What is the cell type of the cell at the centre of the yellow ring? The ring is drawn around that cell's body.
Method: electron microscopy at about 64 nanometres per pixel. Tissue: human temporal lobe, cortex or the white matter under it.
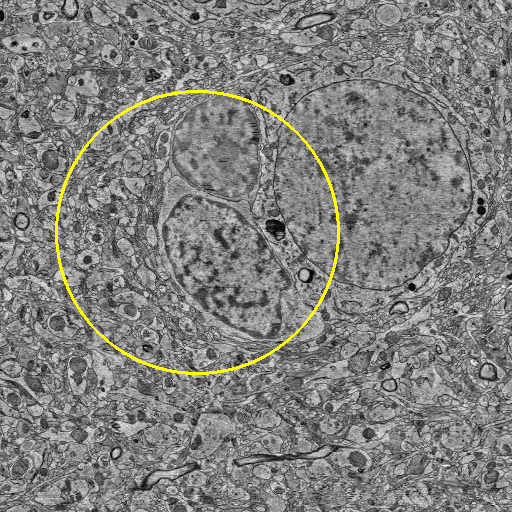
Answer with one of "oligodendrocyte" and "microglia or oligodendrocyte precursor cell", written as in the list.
microglia or oligodendrocyte precursor cell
